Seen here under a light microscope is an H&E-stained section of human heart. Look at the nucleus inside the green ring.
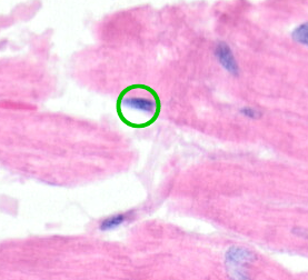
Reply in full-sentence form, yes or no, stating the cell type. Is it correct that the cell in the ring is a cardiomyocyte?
No, mate, the cell in the ring is an endothelial cell rather than a cardiomyocyte.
